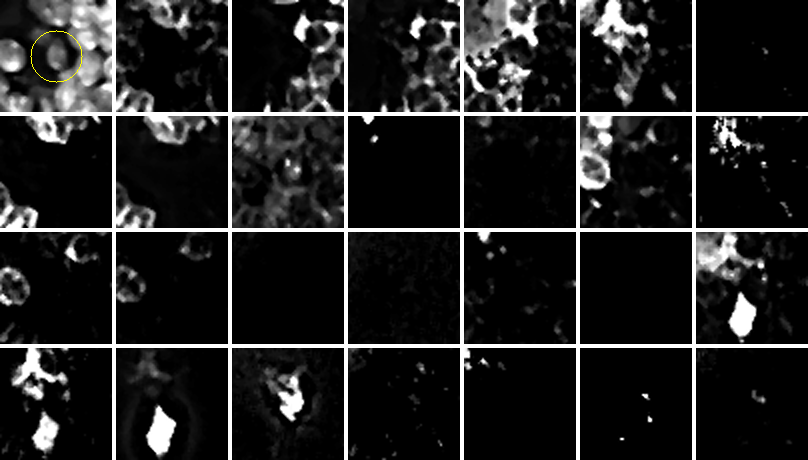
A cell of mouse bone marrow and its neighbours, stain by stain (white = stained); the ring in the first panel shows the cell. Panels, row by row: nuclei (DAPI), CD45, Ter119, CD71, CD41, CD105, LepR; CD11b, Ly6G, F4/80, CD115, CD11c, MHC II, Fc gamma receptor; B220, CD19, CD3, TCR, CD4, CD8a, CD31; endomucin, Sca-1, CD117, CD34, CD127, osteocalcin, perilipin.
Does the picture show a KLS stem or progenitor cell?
Yes.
